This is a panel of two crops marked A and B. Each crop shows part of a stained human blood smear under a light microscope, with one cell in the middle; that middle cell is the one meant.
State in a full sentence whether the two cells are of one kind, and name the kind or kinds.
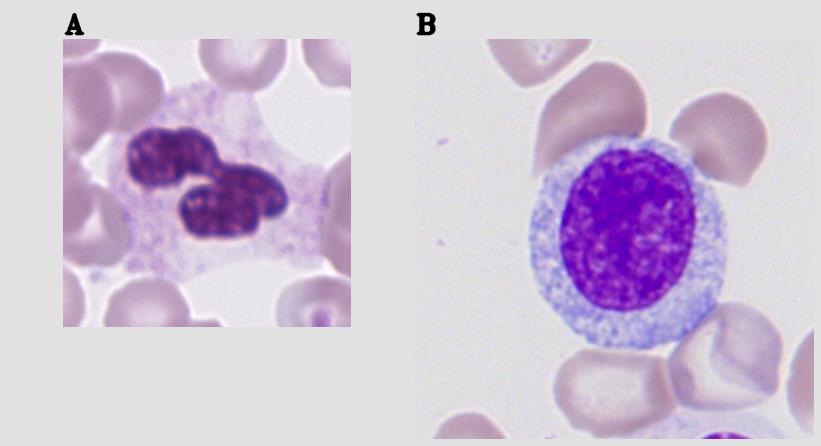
No, while a segmented neutrophil is found in crop A, a monocyte is found in crop B.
